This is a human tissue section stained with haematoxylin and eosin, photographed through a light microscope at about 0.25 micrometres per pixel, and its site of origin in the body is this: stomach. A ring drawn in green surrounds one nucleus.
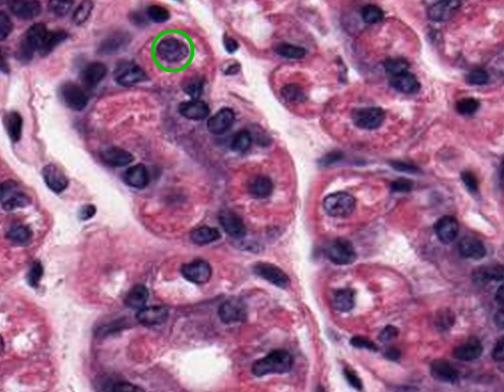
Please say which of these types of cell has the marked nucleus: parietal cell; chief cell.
parietal cell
